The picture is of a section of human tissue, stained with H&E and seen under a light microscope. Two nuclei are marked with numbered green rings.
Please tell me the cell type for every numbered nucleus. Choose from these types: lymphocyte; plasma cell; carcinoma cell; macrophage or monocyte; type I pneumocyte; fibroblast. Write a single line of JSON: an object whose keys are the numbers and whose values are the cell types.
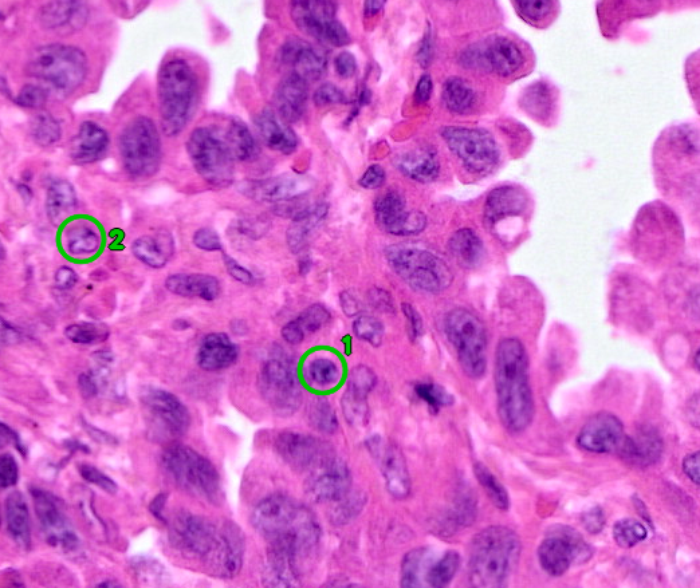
{"1": "lymphocyte", "2": "macrophage or monocyte"}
